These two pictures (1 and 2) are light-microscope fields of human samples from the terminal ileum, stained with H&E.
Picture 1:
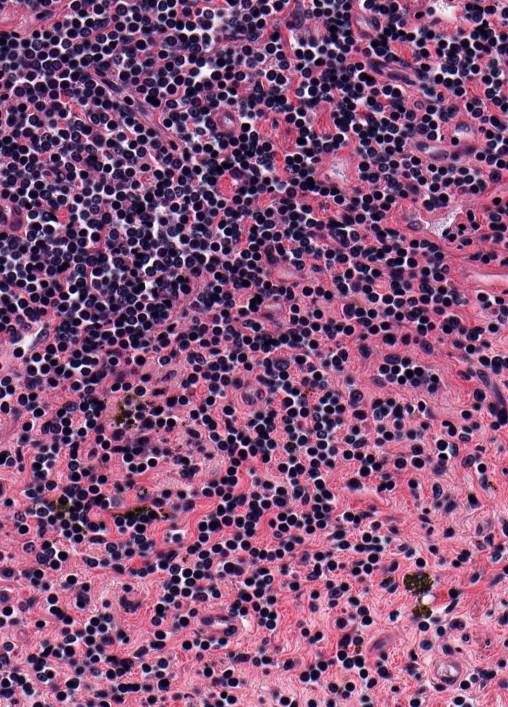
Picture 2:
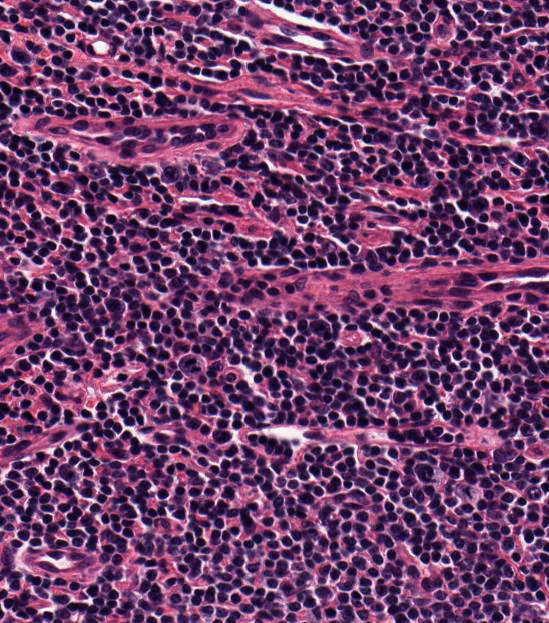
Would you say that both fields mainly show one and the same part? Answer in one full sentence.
Yes; both pictures mainly show lymphoid tissue.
